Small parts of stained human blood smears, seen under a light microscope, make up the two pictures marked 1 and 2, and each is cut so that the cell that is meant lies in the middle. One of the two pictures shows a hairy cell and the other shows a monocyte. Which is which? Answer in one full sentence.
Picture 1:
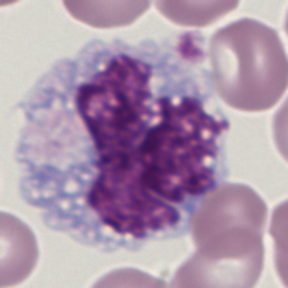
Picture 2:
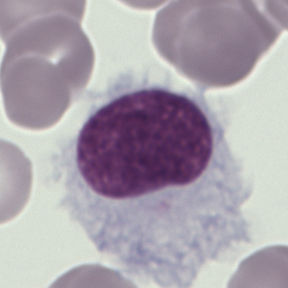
Picture 2 shows a hairy cell, while picture 1 shows a monocyte.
